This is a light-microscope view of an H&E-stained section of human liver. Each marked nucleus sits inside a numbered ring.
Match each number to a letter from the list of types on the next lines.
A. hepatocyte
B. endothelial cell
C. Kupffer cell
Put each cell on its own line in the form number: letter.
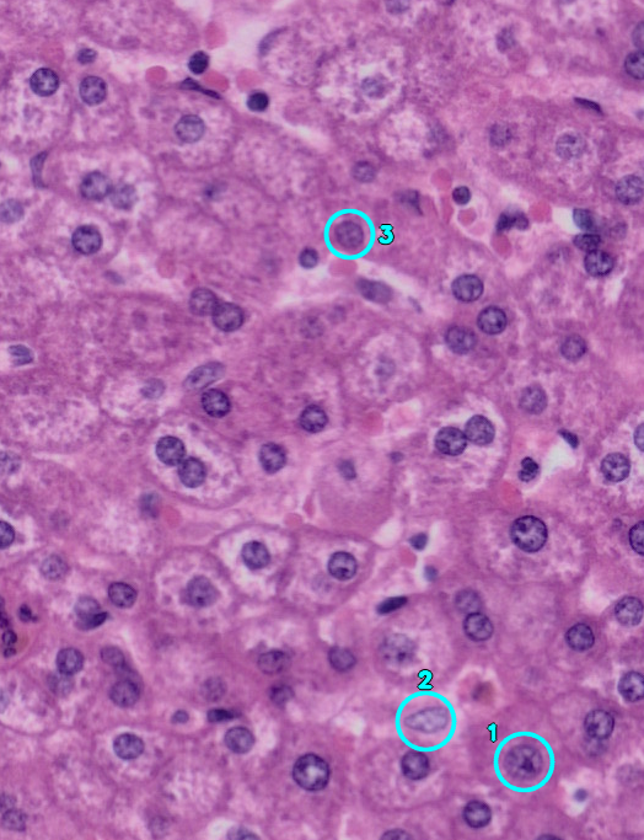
1: A
2: C
3: A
